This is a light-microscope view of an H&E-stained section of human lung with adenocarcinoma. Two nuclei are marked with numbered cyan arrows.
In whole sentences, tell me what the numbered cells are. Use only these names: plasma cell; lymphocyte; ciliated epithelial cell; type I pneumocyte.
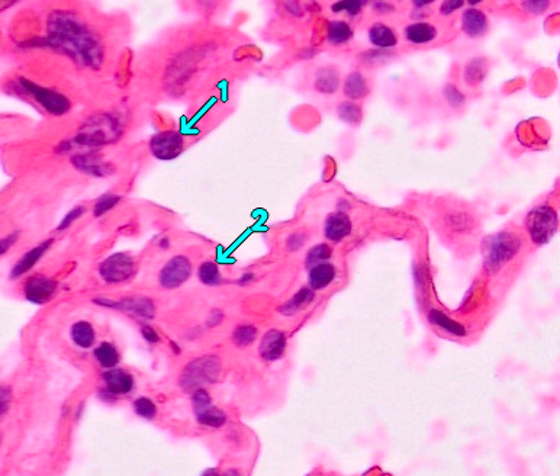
Cell 1 is a type I pneumocyte and cell 2 is a lymphocyte.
